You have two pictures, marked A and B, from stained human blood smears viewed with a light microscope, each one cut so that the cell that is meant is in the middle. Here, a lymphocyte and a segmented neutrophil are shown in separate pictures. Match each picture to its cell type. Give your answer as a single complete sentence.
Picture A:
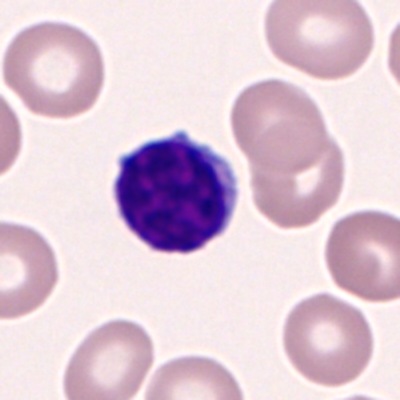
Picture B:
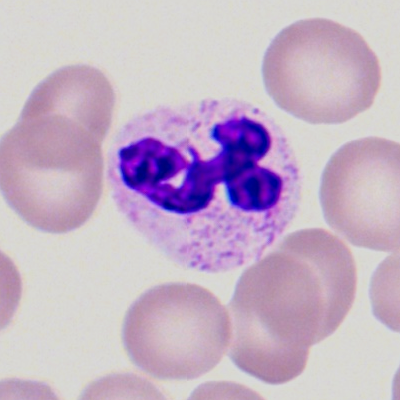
In picture A the cell is a lymphocyte; in picture B, a segmented neutrophil.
